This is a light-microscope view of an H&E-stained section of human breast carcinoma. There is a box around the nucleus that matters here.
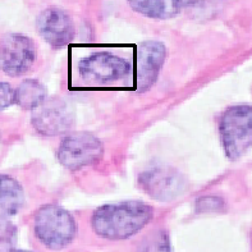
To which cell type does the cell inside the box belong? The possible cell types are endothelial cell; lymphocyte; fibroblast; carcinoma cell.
carcinoma cell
